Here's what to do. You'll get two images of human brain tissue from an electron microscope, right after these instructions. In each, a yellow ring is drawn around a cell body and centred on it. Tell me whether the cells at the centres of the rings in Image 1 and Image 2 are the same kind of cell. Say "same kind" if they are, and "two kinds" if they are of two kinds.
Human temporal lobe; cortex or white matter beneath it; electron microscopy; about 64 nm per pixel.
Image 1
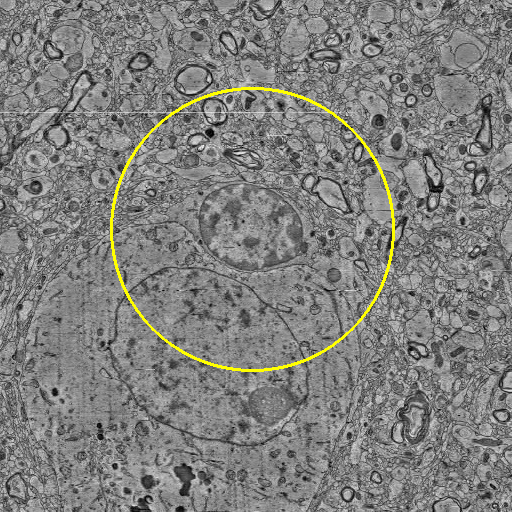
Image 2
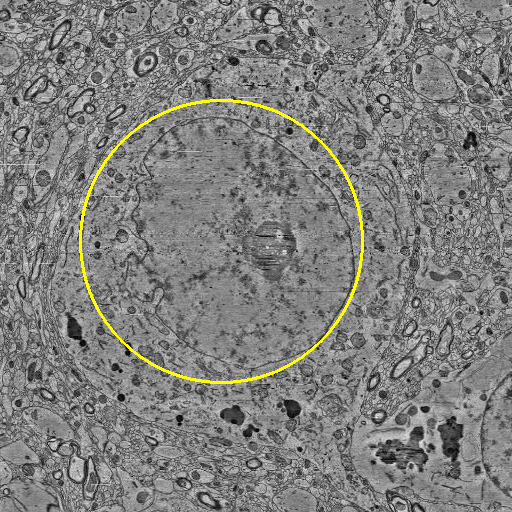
two kinds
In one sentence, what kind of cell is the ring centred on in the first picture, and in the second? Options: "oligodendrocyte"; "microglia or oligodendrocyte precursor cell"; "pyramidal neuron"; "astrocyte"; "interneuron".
The cell at the centre of the second ring is a pyramidal neuron; the first ring's cell is an oligodendrocyte.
